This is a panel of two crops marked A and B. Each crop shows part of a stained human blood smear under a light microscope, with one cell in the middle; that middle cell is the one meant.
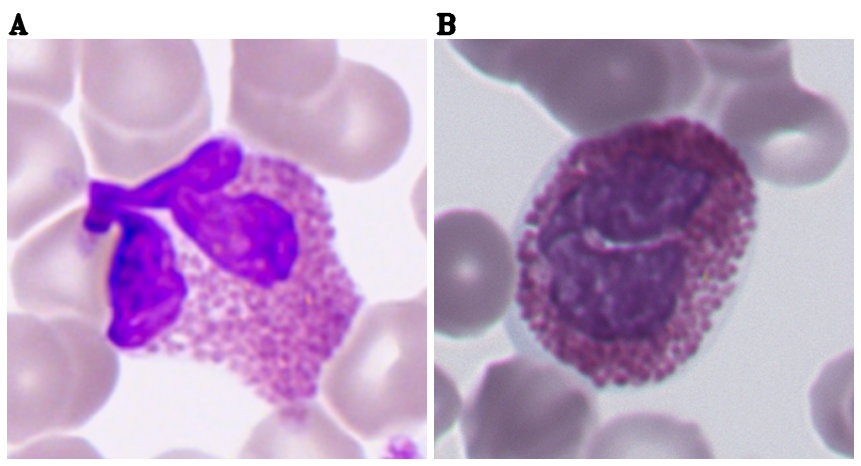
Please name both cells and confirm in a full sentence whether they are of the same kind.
Yes, the two crops are alike in showing eosinophils.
